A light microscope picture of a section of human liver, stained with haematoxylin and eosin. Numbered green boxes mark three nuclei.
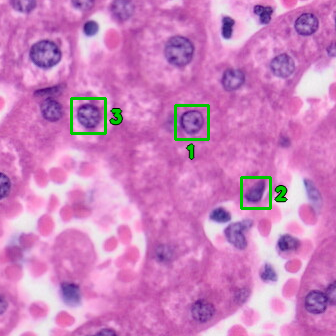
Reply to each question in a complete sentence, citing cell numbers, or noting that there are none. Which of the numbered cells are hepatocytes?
The cells marked by the numbers 1 and 3 are hepatocytes.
